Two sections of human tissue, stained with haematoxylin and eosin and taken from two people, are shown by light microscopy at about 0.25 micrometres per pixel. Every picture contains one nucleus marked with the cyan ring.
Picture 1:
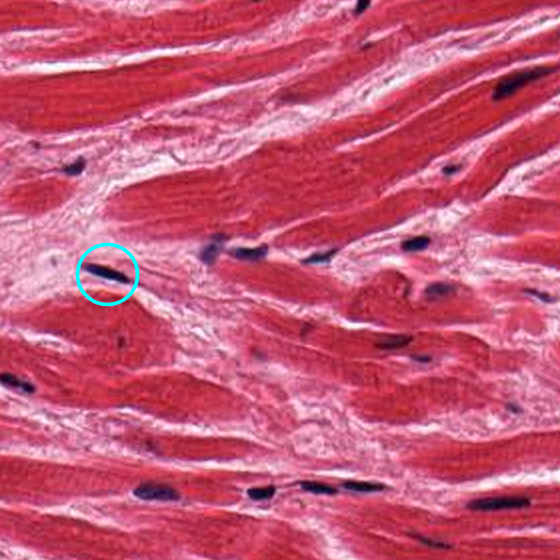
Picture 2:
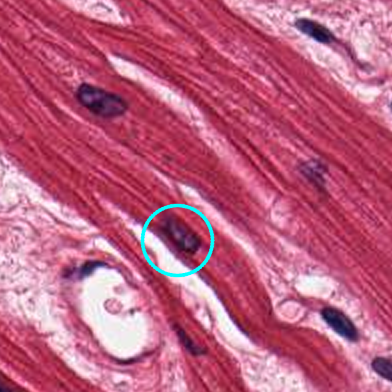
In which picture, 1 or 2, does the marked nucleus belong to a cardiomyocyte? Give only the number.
2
